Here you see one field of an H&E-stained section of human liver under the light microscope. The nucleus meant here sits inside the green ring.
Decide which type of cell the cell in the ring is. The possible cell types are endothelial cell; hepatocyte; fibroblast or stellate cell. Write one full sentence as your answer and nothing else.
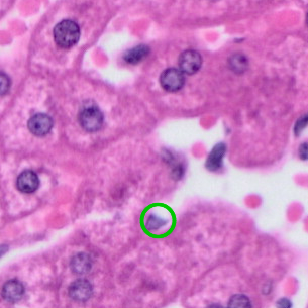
So far as cell type goes, the cell in the ring is an endothelial cell.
